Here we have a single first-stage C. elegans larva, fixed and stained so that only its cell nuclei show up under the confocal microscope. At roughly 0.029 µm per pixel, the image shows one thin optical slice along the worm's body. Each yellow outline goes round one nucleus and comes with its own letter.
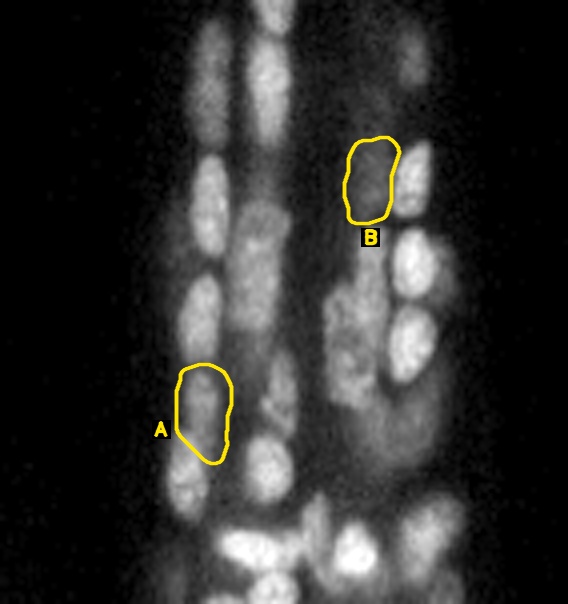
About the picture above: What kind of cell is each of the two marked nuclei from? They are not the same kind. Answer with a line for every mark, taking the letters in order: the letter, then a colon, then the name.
A: glial cell (sheath or socket)
B: pharyngeal muscle cell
